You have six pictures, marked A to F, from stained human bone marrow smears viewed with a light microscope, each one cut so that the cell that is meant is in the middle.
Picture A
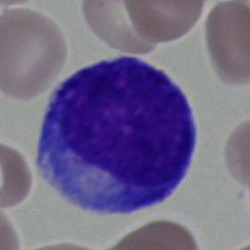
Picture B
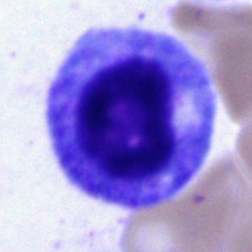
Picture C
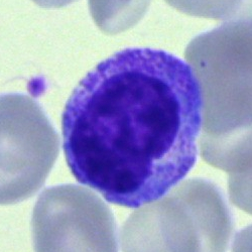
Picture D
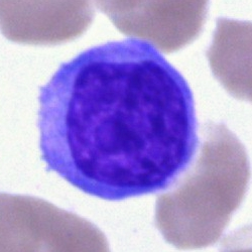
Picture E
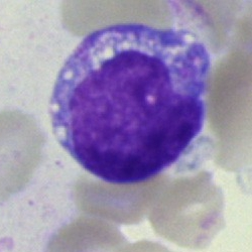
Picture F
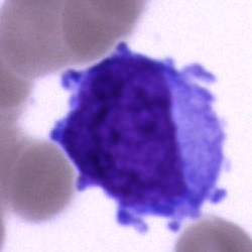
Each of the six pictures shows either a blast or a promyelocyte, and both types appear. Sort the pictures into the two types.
A: promyelocyte
B: promyelocyte
C: promyelocyte
D: blast
E: blast
F: blast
